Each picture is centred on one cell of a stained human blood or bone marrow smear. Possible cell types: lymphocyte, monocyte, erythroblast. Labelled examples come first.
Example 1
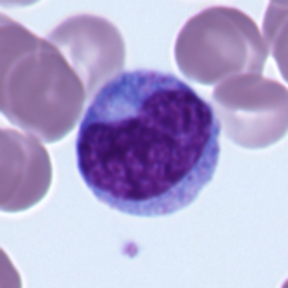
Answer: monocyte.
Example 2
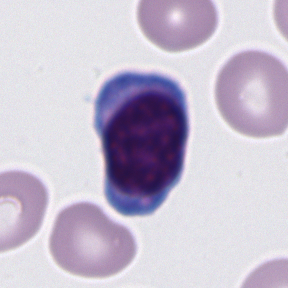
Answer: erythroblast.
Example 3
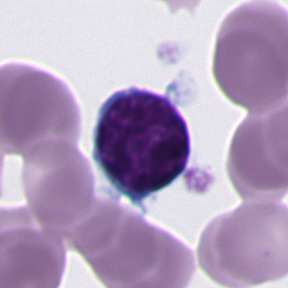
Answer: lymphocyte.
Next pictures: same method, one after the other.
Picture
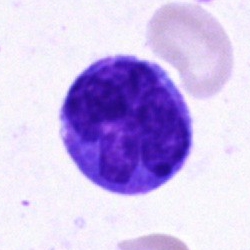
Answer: monocyte.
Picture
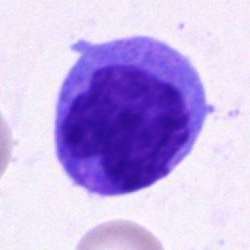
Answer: monocyte.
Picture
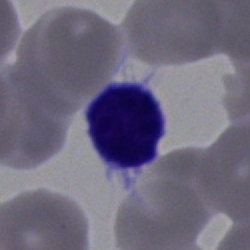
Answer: lymphocyte.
